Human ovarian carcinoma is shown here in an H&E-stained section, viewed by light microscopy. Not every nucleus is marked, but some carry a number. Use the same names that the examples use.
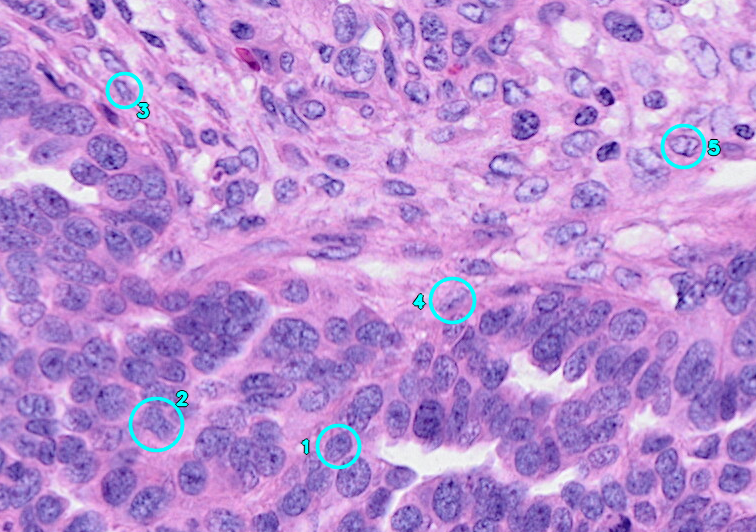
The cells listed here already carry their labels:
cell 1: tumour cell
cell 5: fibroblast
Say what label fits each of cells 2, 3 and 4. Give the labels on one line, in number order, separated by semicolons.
tumour cell; fibroblast; fibroblast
